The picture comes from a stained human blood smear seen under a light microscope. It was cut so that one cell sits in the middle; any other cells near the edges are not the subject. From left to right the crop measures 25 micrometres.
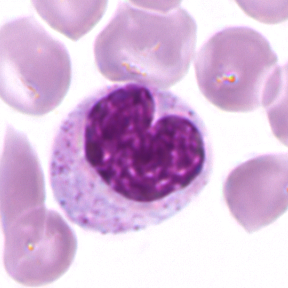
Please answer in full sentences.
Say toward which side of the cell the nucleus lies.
Seen from the middle of the cell, the nucleus lies toward the upper right.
